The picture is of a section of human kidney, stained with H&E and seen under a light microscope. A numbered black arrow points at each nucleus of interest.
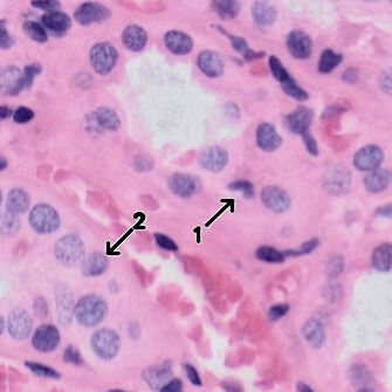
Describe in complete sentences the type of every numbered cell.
Cell 1 is a loop of Henle or distal tubule cell and cell 2 is a collecting duct cell.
